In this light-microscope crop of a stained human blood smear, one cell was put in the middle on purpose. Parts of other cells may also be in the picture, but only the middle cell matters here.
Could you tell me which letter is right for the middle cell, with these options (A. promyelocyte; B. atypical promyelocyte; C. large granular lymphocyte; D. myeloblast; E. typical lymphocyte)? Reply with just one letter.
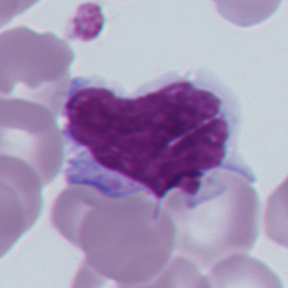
E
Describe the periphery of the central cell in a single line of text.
The boundary of the cell runs irregularly, ragged in parts or drawn into projections.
